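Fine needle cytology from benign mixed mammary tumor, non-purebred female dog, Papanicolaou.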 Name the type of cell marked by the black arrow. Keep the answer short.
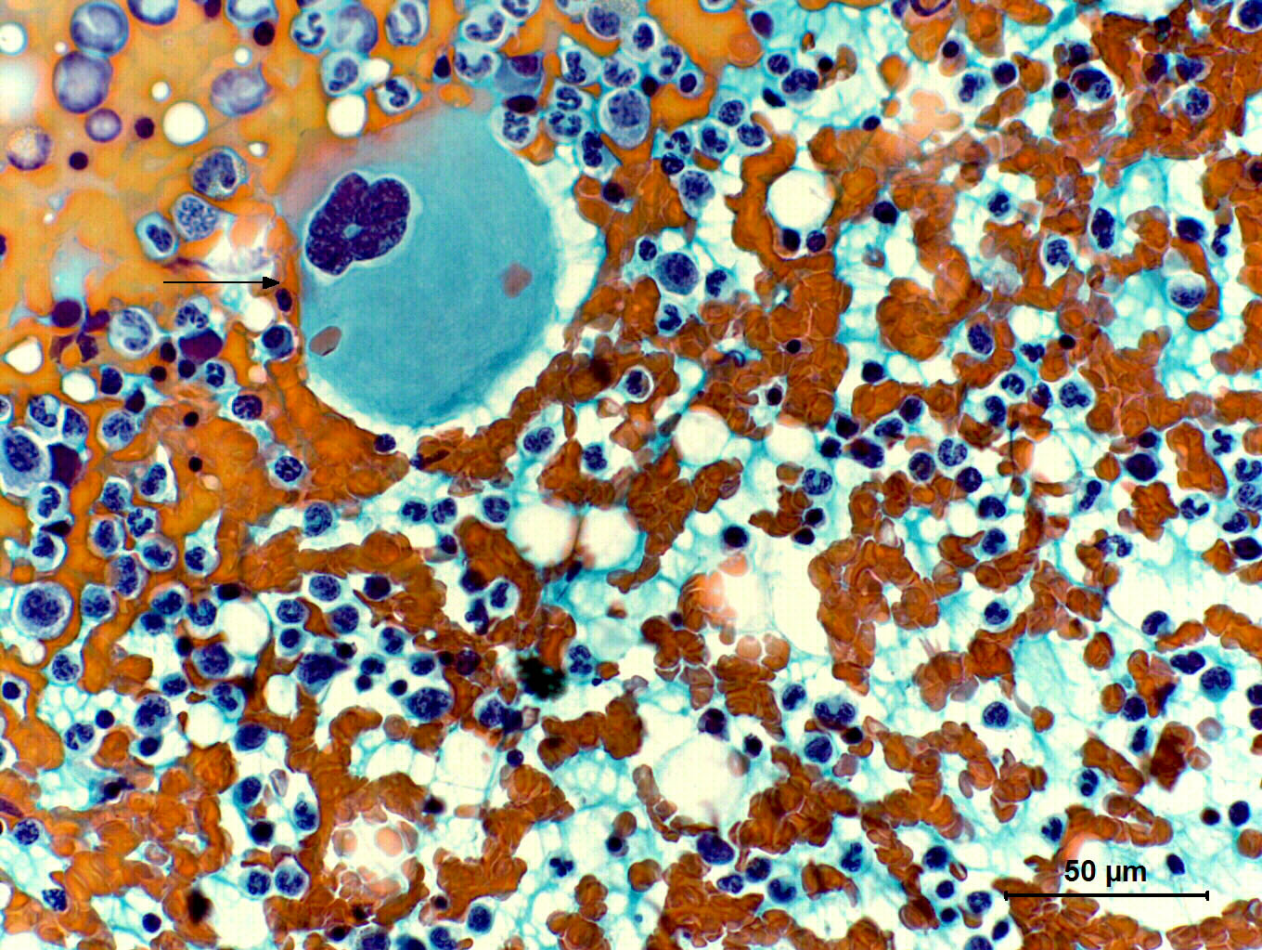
Megakaryocyte.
